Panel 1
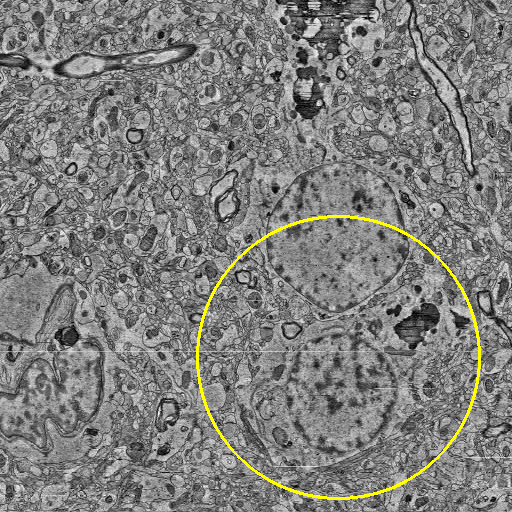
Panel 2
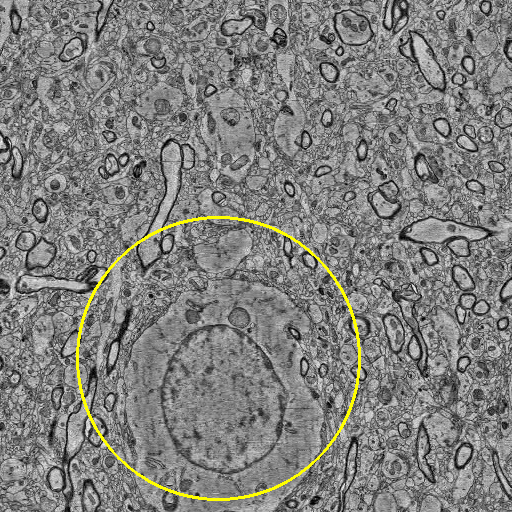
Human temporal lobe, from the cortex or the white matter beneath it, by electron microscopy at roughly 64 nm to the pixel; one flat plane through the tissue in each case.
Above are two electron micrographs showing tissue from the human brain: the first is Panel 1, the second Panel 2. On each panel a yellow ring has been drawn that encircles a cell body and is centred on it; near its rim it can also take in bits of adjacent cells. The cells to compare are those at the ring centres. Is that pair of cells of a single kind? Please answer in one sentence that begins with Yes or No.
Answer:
Yes, the ring-centred cells of Panel 1 and Panel 2 belong to one kind.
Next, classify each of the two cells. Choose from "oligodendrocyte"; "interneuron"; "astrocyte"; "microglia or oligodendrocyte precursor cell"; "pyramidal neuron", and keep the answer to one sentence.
Each of the two pictures has an astrocyte at the ring centre.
